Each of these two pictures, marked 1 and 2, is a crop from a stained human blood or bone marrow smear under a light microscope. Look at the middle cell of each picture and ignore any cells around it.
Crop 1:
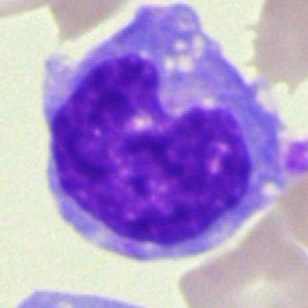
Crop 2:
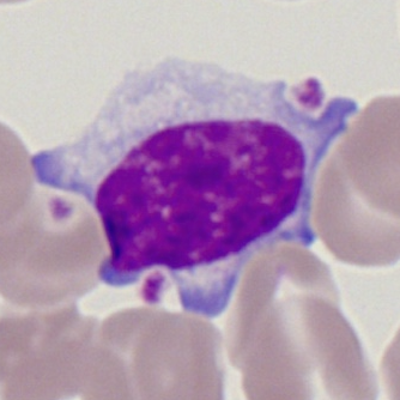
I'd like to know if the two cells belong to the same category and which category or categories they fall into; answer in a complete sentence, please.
No, in this case crop 1 shows a monocyte, and crop 2 shows a lymphocyte.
